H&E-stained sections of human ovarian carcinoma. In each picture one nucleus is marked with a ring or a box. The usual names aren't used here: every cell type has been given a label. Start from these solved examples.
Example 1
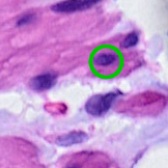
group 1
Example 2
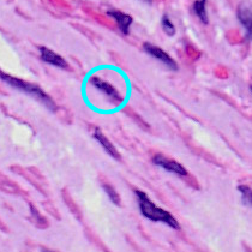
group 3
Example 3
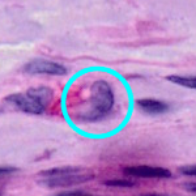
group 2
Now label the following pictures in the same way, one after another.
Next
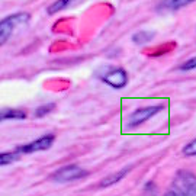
group 3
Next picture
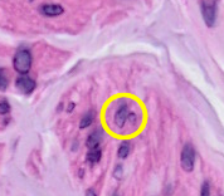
group 1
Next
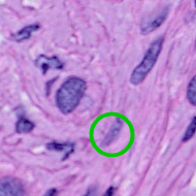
group 3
